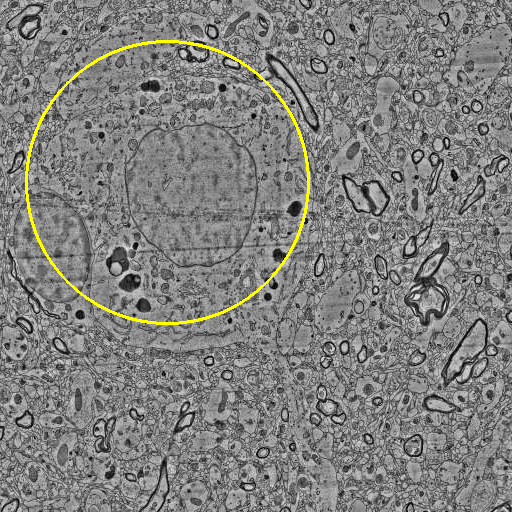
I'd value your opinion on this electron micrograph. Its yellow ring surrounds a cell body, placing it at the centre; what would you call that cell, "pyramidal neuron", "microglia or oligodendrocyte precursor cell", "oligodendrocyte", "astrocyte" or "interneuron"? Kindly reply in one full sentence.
It is a pyramidal neuron that sits centred within the yellow ring in this micrograph.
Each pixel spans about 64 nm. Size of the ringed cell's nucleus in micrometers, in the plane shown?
About 9 micrometres across, as seen in this plane.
